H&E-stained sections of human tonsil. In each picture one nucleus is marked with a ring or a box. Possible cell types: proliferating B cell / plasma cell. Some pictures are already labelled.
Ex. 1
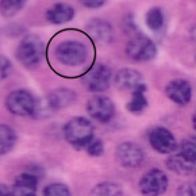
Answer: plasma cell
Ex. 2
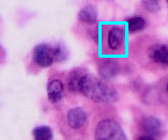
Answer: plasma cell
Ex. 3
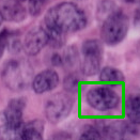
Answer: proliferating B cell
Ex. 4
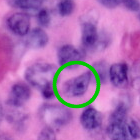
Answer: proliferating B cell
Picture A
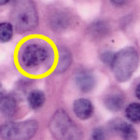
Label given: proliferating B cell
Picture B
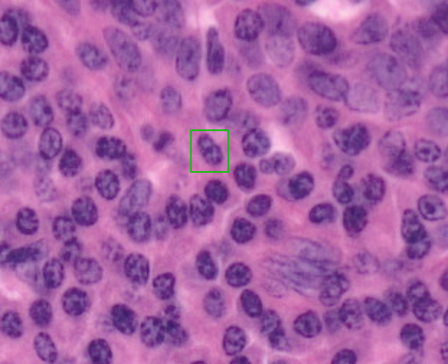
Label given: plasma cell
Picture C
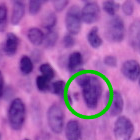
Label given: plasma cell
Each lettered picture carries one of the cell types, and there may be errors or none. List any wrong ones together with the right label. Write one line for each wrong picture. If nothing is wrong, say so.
A: plasma cell, not proliferating B cell
C: proliferating B cell, not plasma cell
